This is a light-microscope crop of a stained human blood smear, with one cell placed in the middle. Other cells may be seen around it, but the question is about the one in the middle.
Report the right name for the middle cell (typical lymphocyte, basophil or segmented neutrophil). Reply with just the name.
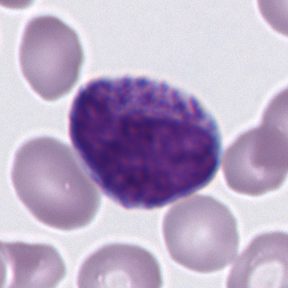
basophil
